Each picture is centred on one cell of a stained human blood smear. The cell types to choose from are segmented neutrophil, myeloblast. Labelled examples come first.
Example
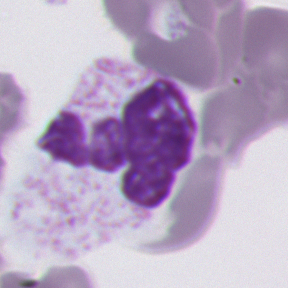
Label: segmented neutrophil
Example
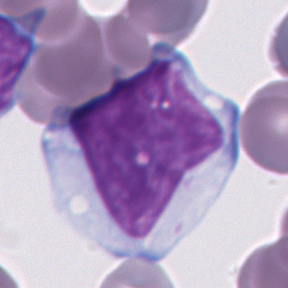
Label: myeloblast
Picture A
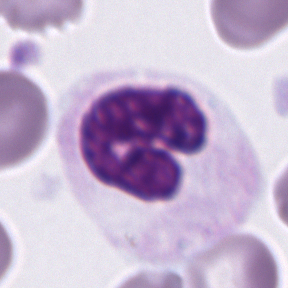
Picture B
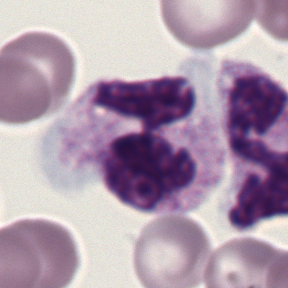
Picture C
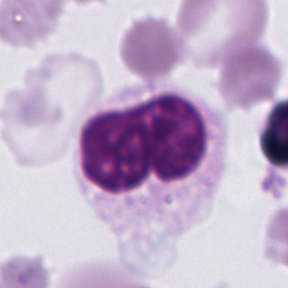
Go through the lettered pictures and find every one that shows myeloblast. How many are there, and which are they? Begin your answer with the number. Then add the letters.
0, none of them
